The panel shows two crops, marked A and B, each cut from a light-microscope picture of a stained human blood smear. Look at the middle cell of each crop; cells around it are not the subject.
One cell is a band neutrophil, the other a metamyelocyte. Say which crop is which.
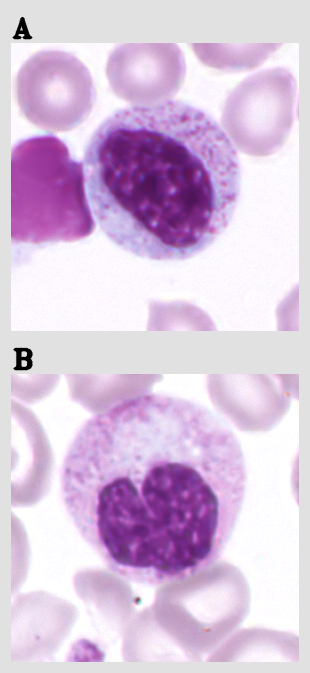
A: metamyelocyte
B: band neutrophil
